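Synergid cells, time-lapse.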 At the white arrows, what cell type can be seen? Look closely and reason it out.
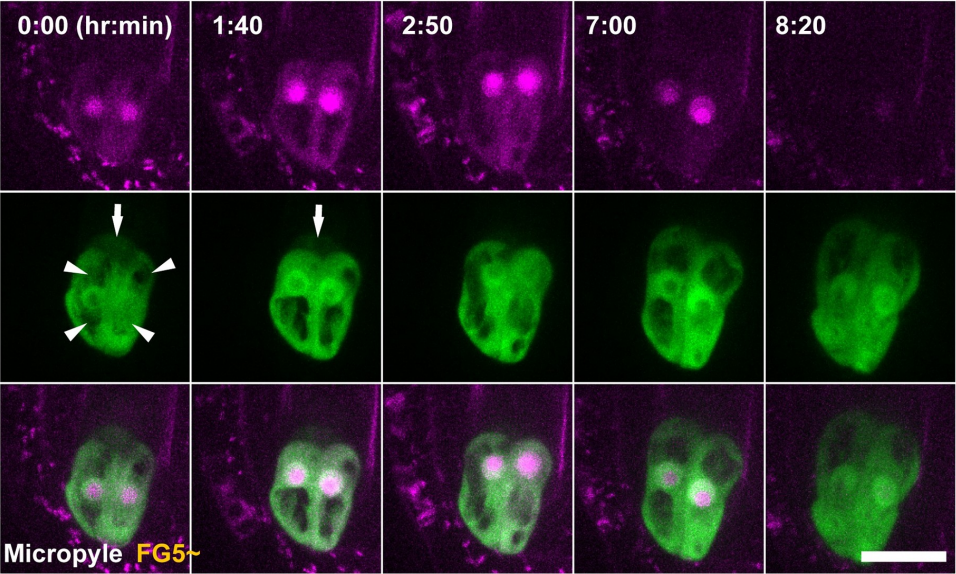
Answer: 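The arrows point to the end of the green cell group away from the micropyle. The marked region lies beyond the two magenta nuclei.
Egg cells.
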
